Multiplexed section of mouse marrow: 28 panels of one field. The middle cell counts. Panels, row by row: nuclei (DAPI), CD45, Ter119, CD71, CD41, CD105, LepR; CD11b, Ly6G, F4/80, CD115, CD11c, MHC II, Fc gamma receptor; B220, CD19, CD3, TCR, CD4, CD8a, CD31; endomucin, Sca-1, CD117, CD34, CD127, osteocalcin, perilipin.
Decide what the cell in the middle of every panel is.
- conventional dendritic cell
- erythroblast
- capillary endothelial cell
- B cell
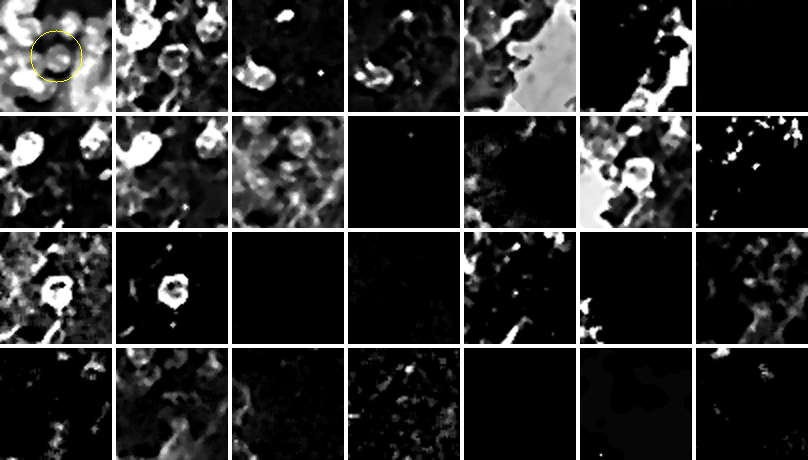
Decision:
B cell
